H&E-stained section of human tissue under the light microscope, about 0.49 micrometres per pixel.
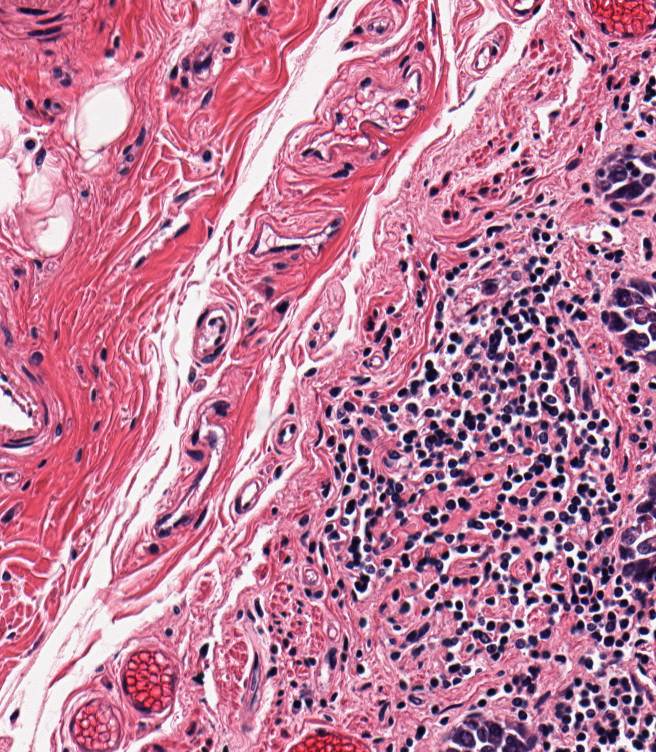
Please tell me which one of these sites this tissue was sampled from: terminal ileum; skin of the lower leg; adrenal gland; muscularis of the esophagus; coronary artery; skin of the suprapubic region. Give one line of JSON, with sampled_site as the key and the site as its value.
{"sampled_site": "terminal ileum"}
